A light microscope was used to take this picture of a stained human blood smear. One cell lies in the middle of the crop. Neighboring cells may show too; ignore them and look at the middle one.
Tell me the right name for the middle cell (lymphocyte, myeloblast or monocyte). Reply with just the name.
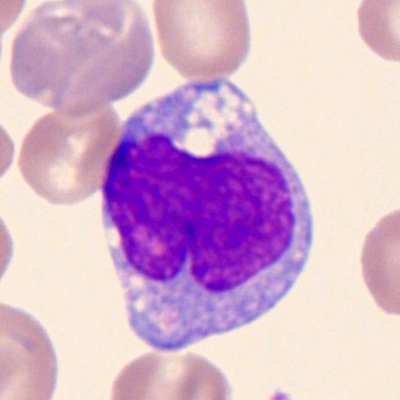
monocyte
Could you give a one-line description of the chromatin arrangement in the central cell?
The chromatin remains finely textured, with no coarse clumps to speak of.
